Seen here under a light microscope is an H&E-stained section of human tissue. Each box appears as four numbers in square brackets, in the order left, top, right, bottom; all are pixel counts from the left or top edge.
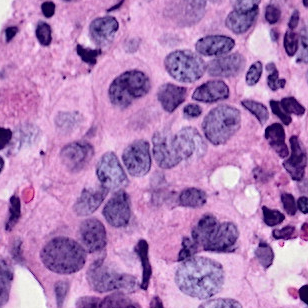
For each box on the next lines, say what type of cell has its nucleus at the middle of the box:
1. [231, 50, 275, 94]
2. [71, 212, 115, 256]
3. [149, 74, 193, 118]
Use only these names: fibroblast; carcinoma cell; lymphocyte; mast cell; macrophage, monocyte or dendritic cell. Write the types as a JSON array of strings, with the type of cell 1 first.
["lymphocyte", "carcinoma cell", "carcinoma cell"]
